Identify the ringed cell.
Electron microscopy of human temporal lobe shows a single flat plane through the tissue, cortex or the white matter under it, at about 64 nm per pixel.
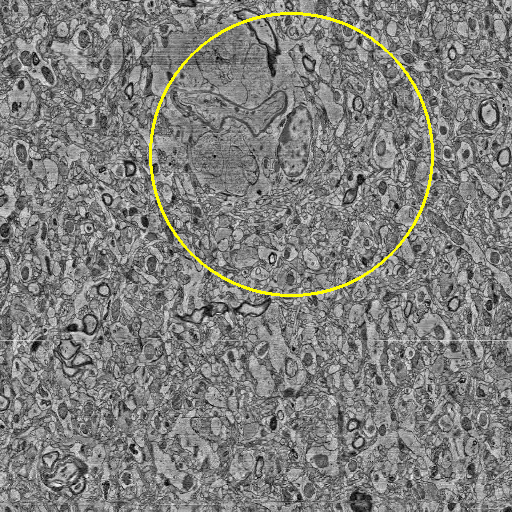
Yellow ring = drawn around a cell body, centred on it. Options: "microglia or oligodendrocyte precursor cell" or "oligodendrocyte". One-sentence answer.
What the ring is centred on is a microglial cell or oligodendrocyte precursor cell.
